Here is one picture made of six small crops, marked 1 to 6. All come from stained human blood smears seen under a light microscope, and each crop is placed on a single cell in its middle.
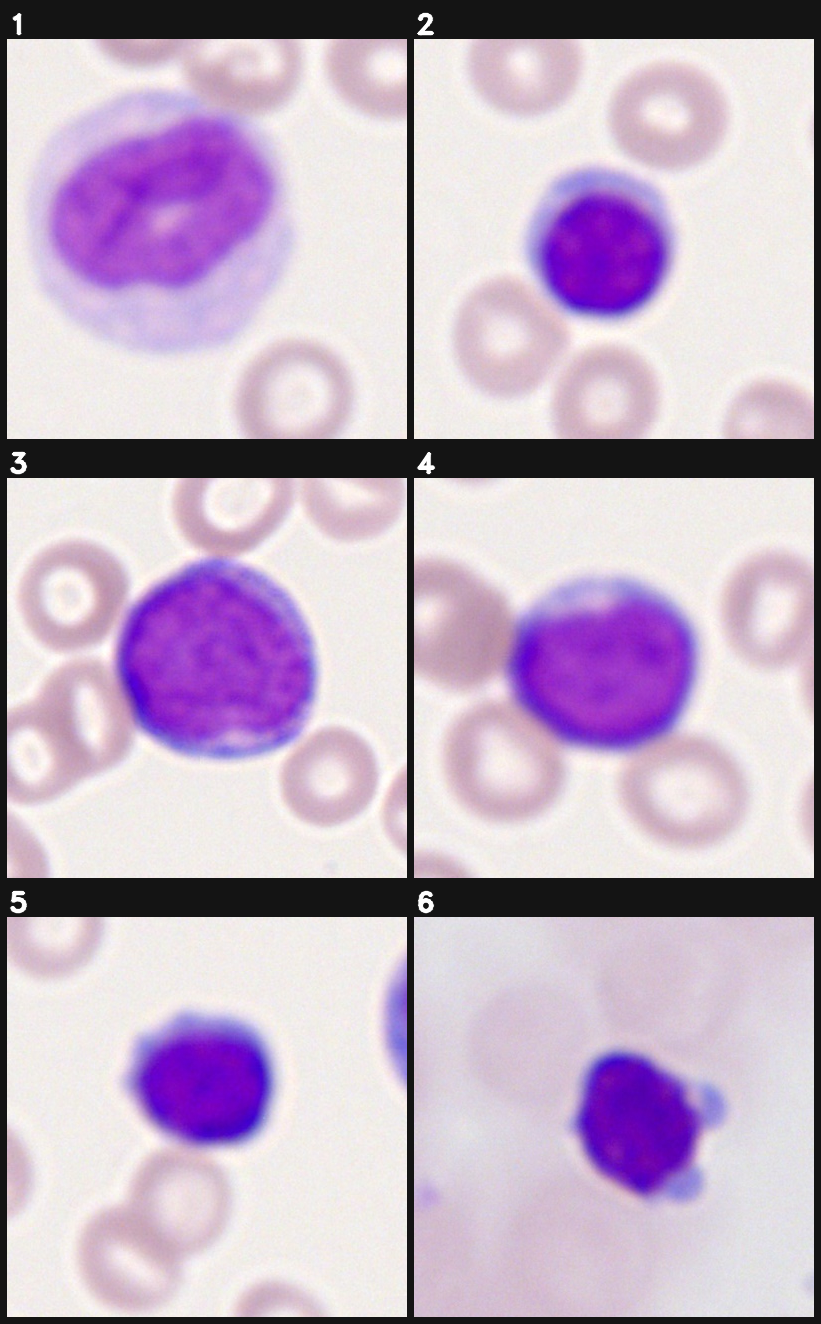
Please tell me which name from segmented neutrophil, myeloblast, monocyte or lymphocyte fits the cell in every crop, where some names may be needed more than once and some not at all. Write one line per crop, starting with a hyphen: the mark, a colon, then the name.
- 1: monocyte
- 2: lymphocyte
- 3: myeloblast
- 4: myeloblast
- 5: lymphocyte
- 6: lymphocyte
